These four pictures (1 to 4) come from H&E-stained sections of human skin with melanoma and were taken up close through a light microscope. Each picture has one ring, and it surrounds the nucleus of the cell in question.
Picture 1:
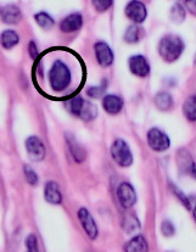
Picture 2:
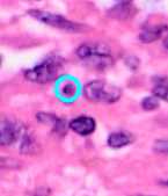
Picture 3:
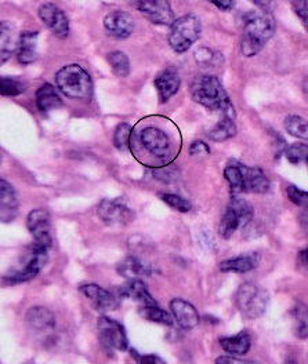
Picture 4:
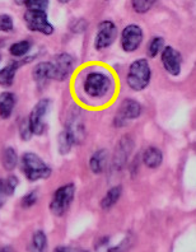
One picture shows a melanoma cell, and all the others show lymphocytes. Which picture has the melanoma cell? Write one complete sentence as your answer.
Picture 3 shows the melanoma cell.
